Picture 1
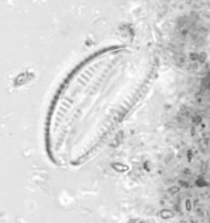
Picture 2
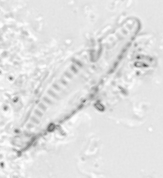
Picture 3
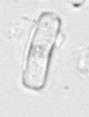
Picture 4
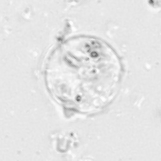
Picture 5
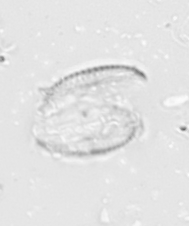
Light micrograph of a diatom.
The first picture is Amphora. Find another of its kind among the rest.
Picture 5.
